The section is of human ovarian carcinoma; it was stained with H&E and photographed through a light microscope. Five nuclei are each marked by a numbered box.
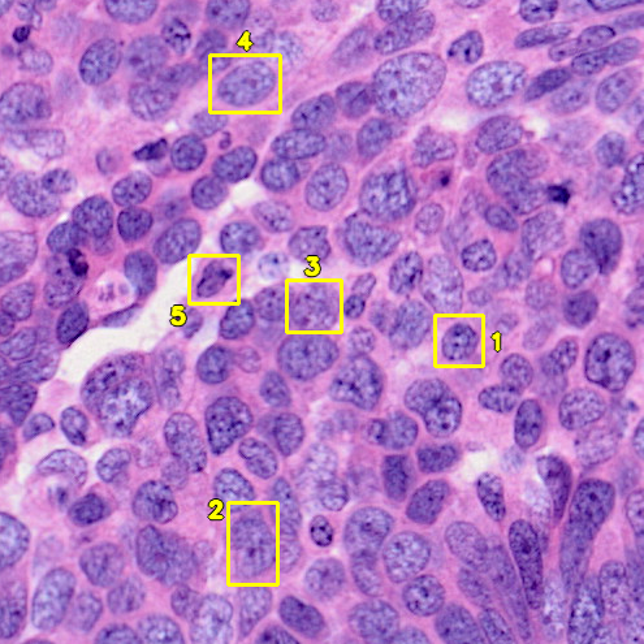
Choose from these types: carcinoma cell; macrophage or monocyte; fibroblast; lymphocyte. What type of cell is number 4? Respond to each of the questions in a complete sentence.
The nucleus marked 4 is the nucleus of a carcinoma cell.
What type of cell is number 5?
What the number 5 marks in this field is a macrophage or monocyte.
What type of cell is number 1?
As for number 1, that cell is a macrophage or monocyte.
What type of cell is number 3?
Within this field of view, the cell labelled 3 is a carcinoma cell.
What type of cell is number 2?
Cell 2 in the field of view is a carcinoma cell.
